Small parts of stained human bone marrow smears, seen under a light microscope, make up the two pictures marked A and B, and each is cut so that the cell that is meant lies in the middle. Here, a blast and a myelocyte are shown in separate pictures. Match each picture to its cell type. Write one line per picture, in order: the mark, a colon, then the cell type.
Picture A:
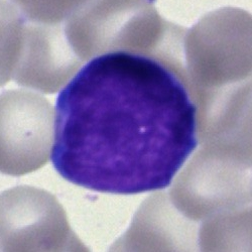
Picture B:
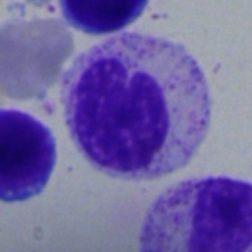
A: blast
B: myelocyte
